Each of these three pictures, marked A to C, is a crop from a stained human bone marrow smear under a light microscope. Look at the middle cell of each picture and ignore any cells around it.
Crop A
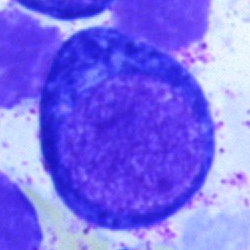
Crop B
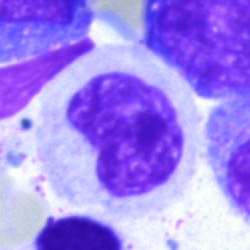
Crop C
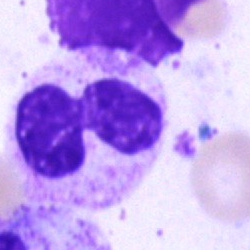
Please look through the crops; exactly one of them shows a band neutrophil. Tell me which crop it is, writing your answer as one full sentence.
The one showing a band neutrophil is crop B.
